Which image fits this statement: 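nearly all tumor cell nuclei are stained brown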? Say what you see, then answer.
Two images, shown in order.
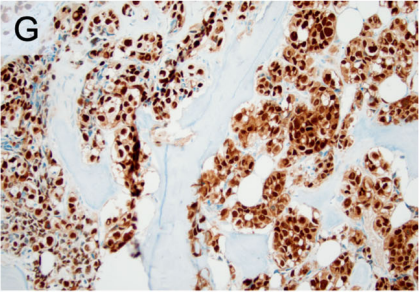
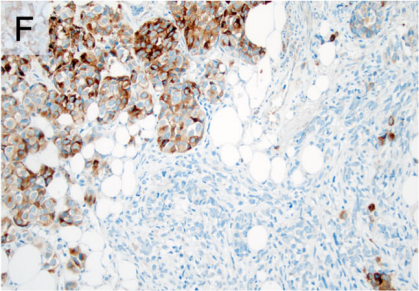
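The first image. First image: dark brown stain fills the nuclei of almost every cell in the nests throughout the field. Second image: brown stain is cytoplasmic and limited to groups in one part of the field, with much of the tissue unstained.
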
